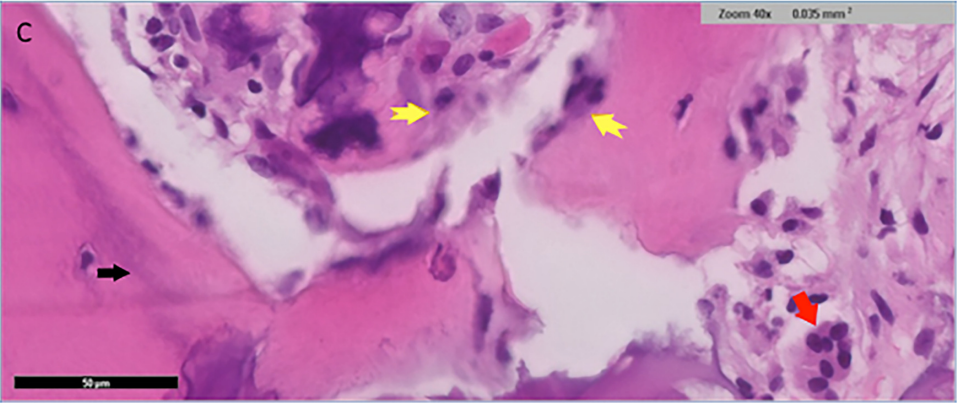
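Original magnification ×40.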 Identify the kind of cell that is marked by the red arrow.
Osteoclast giant cells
